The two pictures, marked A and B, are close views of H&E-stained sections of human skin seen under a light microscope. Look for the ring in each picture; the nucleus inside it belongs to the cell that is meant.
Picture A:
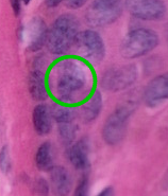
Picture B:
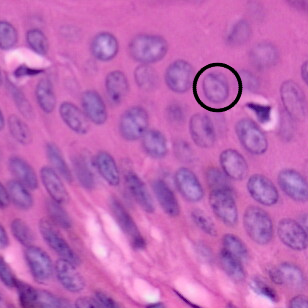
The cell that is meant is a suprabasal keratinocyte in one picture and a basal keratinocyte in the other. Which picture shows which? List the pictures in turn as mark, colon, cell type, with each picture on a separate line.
A: basal keratinocyte
B: suprabasal keratinocyte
